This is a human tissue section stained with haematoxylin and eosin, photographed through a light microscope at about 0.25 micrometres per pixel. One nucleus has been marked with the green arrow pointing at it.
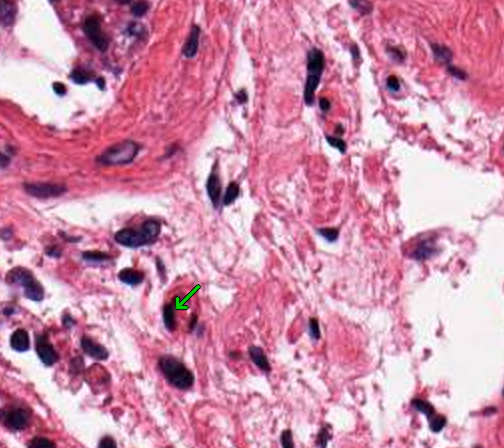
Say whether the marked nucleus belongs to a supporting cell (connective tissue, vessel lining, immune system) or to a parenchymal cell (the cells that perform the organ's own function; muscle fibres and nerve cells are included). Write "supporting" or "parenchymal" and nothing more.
supporting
